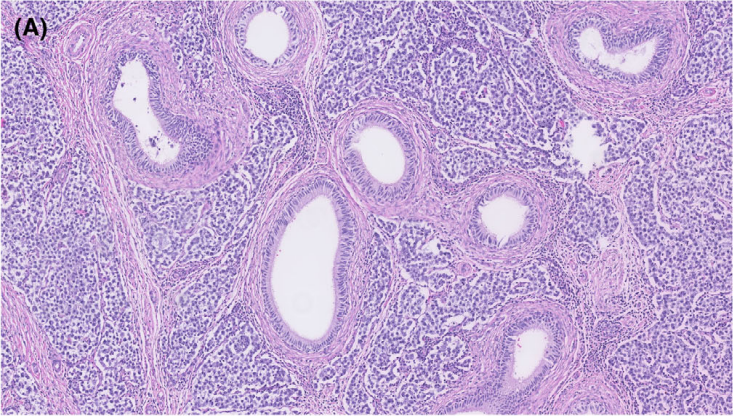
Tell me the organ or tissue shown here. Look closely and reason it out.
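Several round to oval ducts with open lumens. Ducts lined by tall columnar epithelium. Each duct ringed by a thin concentric layer of smooth muscle and fibrous tissue. The answer: epididymis.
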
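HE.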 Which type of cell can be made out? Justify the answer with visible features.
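Sheets of uniform round tumour cells fill the spaces between the ducts. Tumour cells have pale to clear cytoplasm and central round nuclei. Thin fibrous septa divide the tumour cells into nests. On this evidence: Seminoma.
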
